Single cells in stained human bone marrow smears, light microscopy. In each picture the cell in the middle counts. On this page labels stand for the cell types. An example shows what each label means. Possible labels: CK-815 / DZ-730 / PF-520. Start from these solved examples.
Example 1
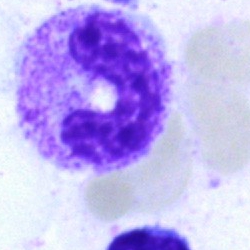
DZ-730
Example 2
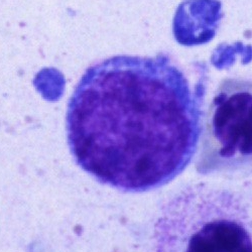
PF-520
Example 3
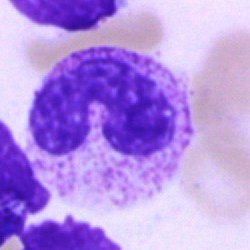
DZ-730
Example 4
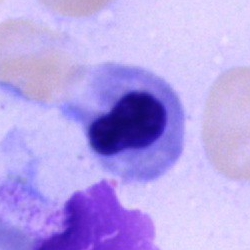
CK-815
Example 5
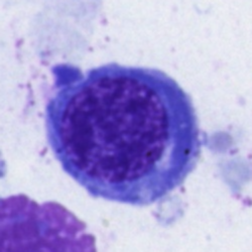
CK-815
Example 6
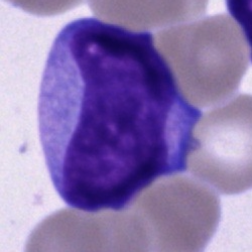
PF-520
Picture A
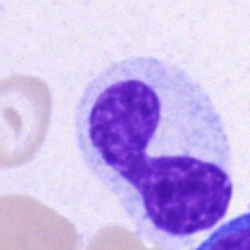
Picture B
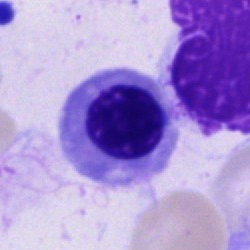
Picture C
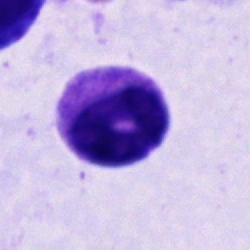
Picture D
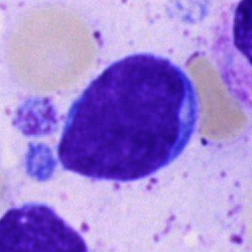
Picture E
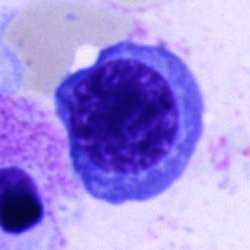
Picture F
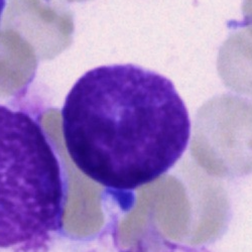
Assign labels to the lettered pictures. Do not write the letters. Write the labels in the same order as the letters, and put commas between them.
DZ-730, CK-815, DZ-730, PF-520, CK-815, PF-520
